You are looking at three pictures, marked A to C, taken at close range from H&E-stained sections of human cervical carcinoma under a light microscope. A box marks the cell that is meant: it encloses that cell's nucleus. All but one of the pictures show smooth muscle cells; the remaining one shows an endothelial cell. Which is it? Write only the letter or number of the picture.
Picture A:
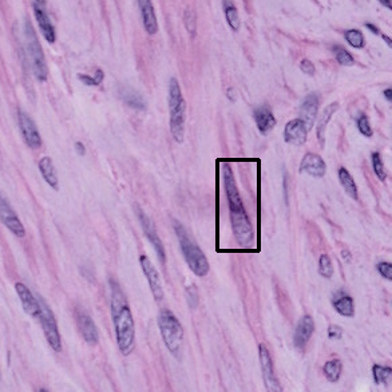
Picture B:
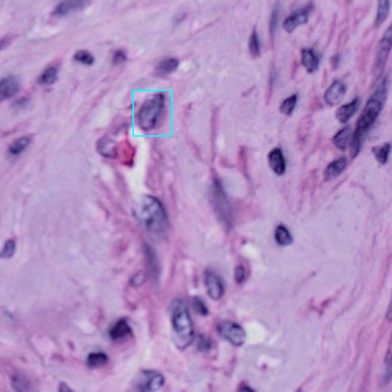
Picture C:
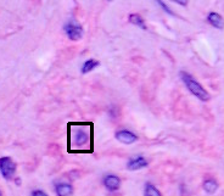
B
